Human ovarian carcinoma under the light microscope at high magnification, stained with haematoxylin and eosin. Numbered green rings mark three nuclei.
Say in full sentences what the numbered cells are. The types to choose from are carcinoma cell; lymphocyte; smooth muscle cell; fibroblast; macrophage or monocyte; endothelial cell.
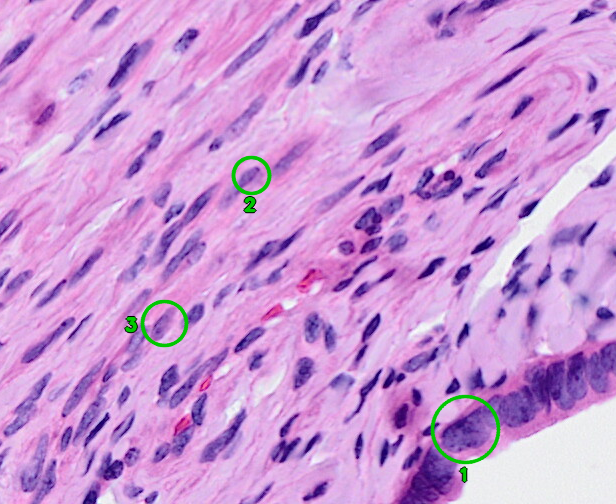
Cell 1 is a carcinoma cell, cell 2 is a smooth muscle cell and cell 3 is a smooth muscle cell.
